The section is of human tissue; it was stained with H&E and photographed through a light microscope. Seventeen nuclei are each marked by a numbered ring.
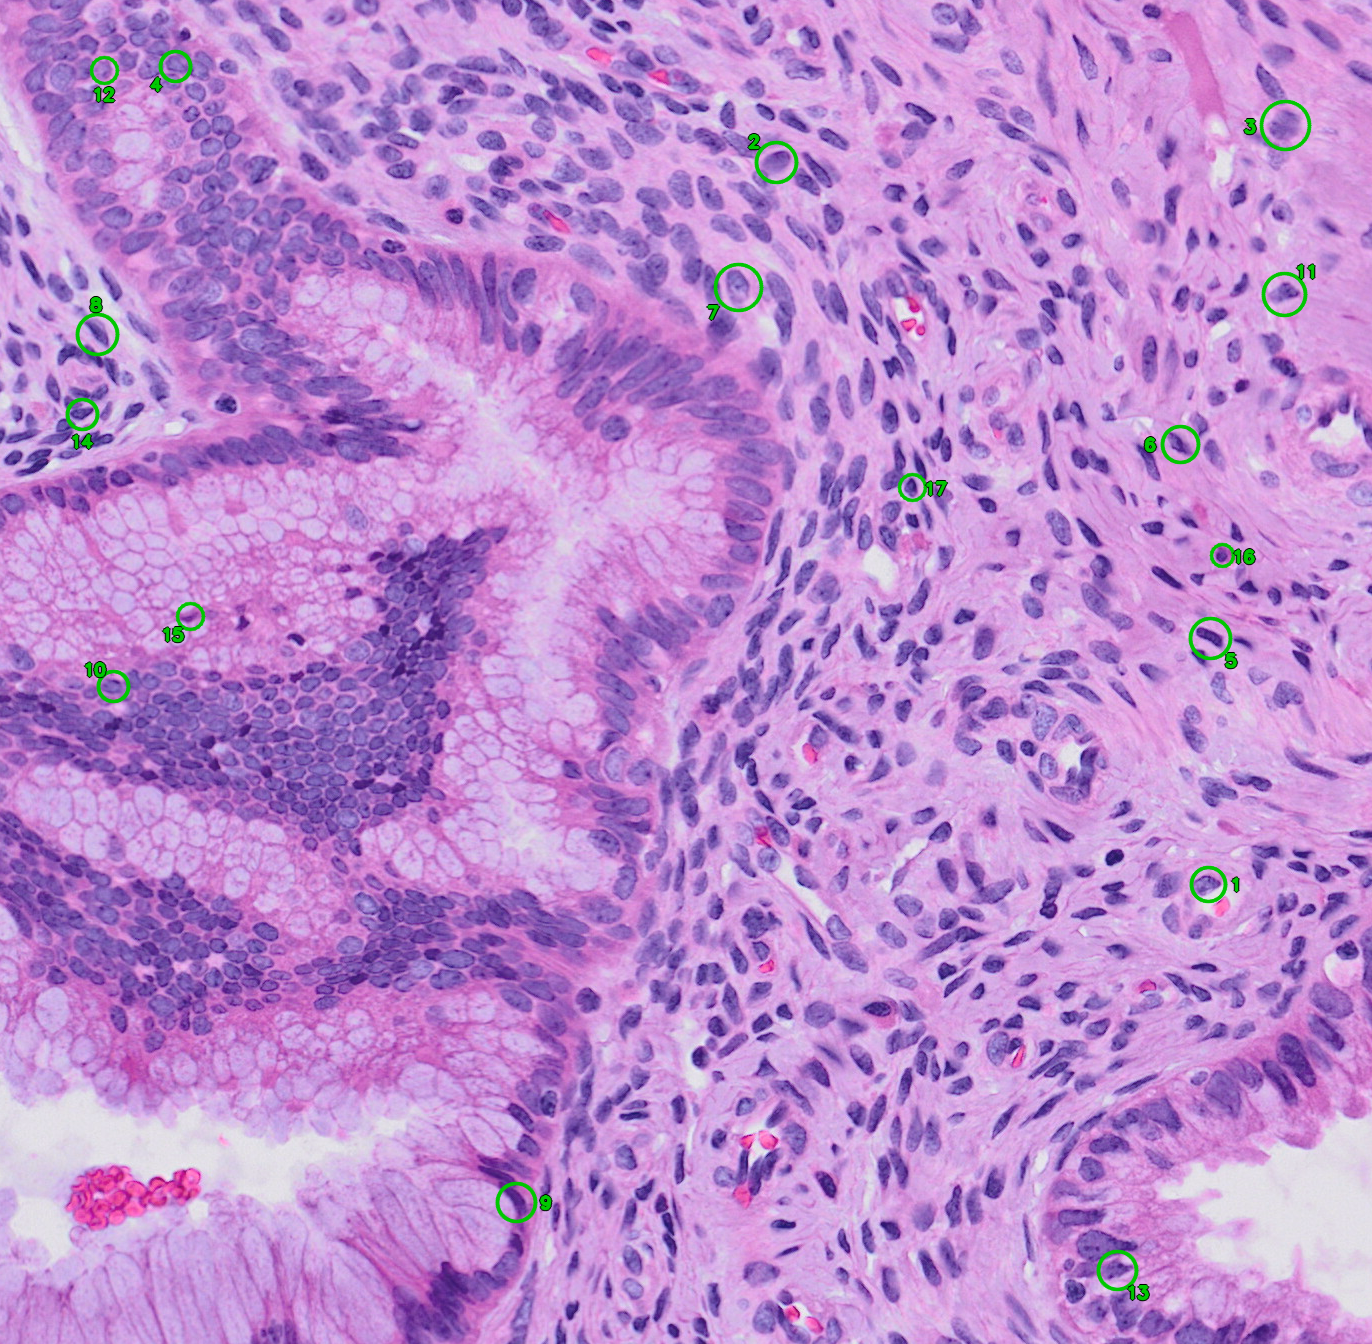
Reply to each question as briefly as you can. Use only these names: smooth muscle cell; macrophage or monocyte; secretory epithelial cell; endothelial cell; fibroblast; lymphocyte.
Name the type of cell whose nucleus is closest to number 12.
secretory epithelial cell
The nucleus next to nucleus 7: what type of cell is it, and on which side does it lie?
a fibroblast to the left of nucleus 7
